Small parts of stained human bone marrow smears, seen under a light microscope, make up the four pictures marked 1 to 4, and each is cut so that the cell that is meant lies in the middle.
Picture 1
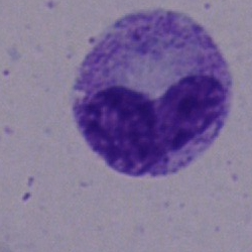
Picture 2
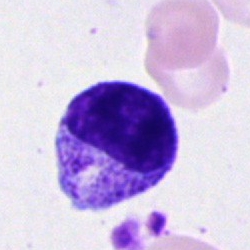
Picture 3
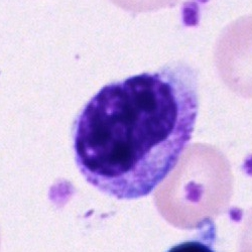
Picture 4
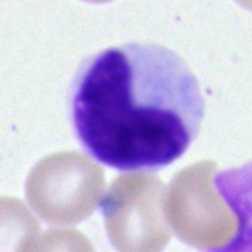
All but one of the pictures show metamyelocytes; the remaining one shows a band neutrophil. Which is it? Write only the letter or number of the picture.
1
